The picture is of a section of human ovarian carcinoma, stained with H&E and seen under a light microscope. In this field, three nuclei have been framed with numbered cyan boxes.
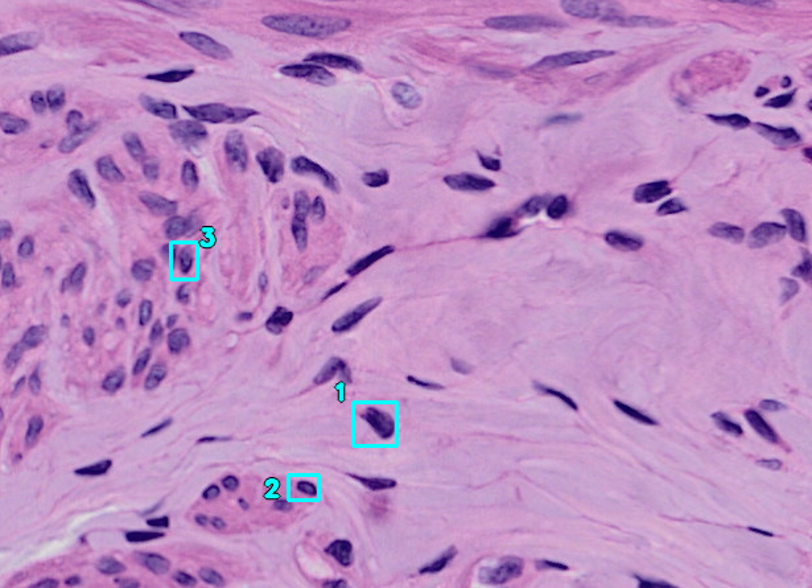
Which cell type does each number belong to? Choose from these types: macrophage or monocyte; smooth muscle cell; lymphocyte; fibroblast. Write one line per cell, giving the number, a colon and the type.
1: fibroblast
2: smooth muscle cell
3: smooth muscle cell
